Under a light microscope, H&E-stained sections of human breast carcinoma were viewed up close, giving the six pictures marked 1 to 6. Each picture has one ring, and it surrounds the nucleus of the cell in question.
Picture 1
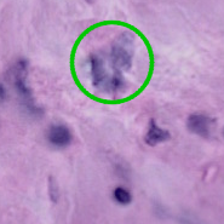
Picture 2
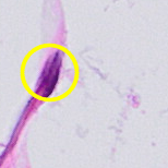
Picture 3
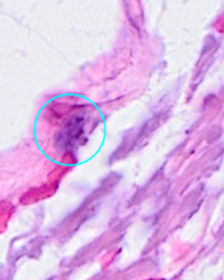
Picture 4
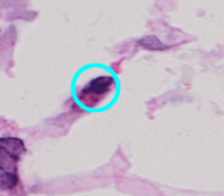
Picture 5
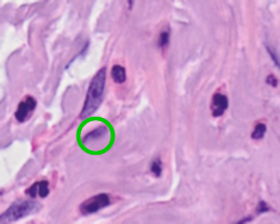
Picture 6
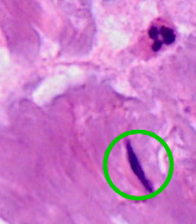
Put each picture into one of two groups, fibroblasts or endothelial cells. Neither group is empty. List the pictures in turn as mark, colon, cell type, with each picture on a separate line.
1: fibroblast
2: endothelial cell
3: endothelial cell
4: endothelial cell
5: fibroblast
6: fibroblast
